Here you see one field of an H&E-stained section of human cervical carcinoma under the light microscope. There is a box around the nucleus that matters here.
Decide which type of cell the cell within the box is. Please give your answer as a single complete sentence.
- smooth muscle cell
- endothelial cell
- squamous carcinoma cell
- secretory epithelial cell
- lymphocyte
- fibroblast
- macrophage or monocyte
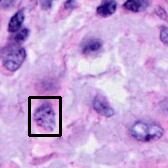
At the level of cell identity, the cell within the box is a macrophage or monocyte.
